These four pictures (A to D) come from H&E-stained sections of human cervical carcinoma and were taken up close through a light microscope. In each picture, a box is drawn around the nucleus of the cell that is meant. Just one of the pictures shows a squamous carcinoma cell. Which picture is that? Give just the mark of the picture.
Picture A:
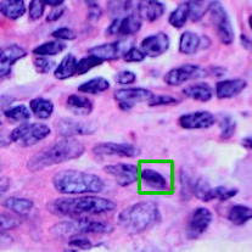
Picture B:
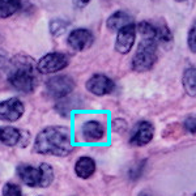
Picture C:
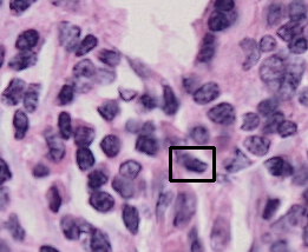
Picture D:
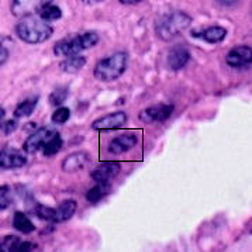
D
